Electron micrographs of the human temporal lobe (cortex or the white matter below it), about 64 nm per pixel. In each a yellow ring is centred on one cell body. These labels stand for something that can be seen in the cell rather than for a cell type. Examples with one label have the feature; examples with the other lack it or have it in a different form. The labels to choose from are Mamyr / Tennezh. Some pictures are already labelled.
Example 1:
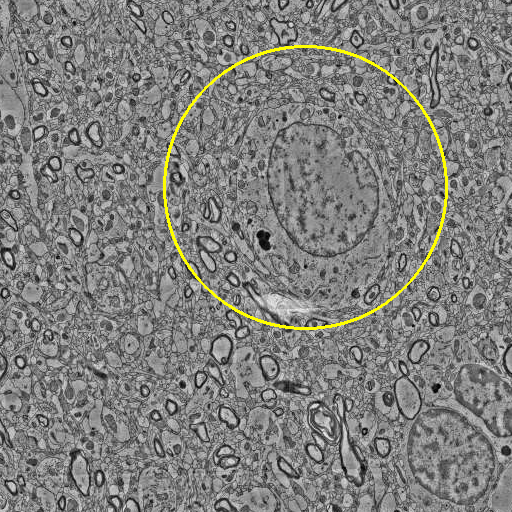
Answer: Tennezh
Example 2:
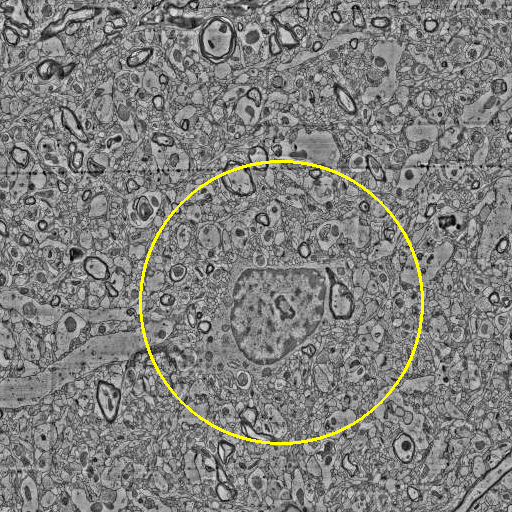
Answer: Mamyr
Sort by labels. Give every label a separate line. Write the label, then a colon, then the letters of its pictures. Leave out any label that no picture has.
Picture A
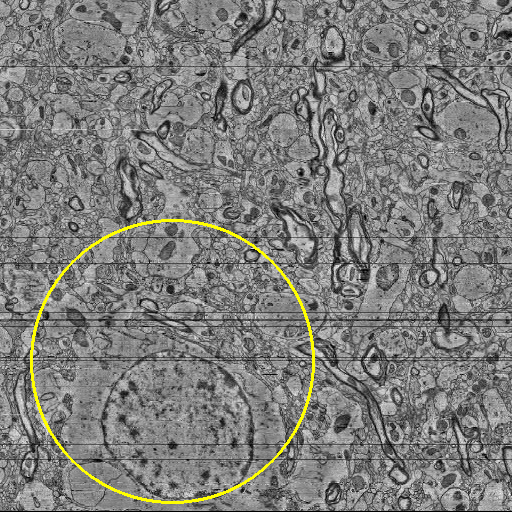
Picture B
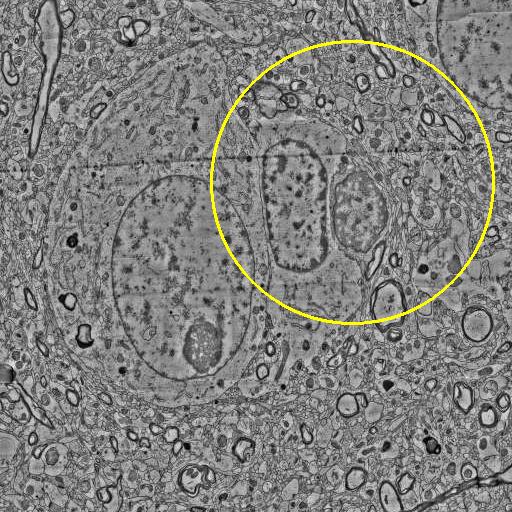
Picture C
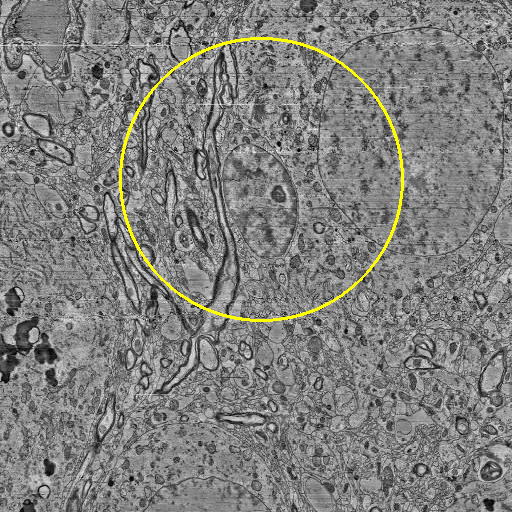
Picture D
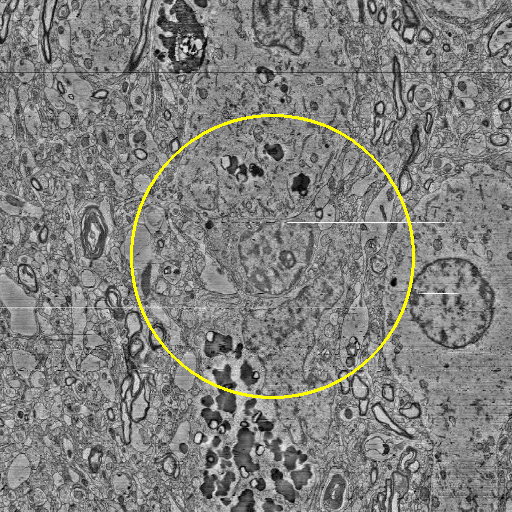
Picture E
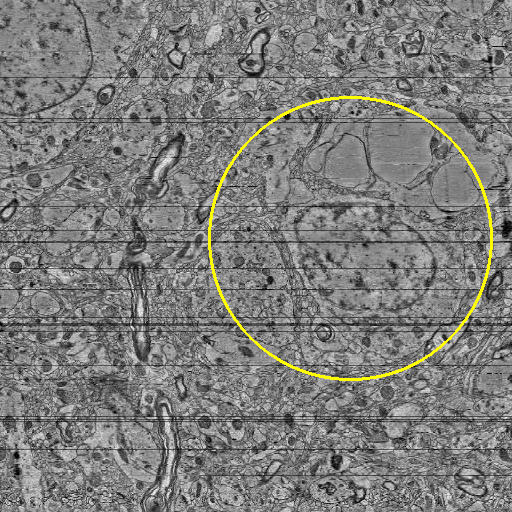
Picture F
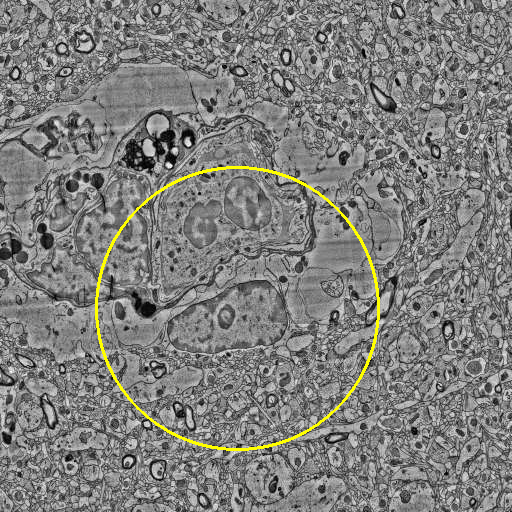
Mamyr: C, D, F
Tennezh: A, B, E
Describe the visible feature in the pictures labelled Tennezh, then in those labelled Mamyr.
Seen in Tennezh: no nucleolus seen; seen in Mamyr: nucleolus seen.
